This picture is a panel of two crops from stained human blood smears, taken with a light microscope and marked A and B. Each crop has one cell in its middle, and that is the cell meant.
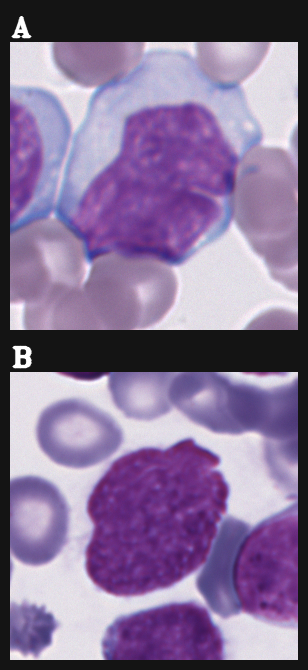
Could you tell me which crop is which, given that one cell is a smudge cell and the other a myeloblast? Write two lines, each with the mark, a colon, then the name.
A: myeloblast
B: smudge cell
